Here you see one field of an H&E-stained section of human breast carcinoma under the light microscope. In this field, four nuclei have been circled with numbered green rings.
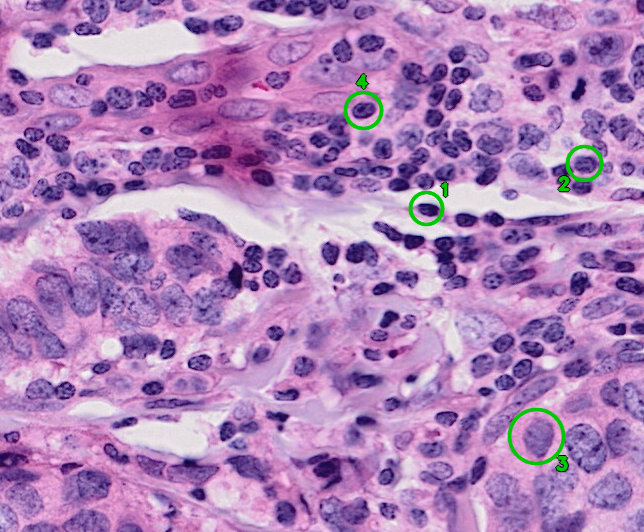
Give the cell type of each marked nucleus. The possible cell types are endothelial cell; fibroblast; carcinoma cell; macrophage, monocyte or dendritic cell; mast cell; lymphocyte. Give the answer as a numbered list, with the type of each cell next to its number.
1. lymphocyte
2. lymphocyte
3. carcinoma cell
4. lymphocyte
